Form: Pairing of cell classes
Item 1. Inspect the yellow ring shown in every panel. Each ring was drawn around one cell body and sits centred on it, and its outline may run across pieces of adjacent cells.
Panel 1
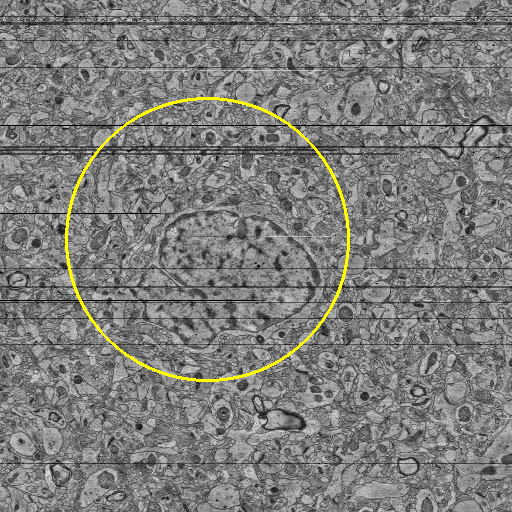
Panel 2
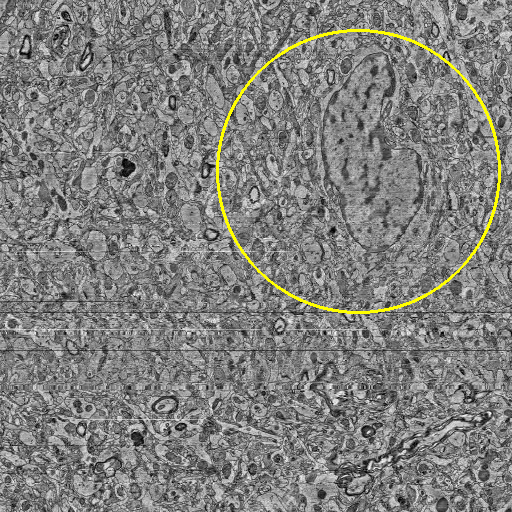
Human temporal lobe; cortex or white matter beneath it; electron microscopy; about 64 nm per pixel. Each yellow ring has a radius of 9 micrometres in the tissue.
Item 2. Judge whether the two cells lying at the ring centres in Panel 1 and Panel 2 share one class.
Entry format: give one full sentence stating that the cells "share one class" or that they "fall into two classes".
The cells at the ring centres in Panel 1 and Panel 2 share one class.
